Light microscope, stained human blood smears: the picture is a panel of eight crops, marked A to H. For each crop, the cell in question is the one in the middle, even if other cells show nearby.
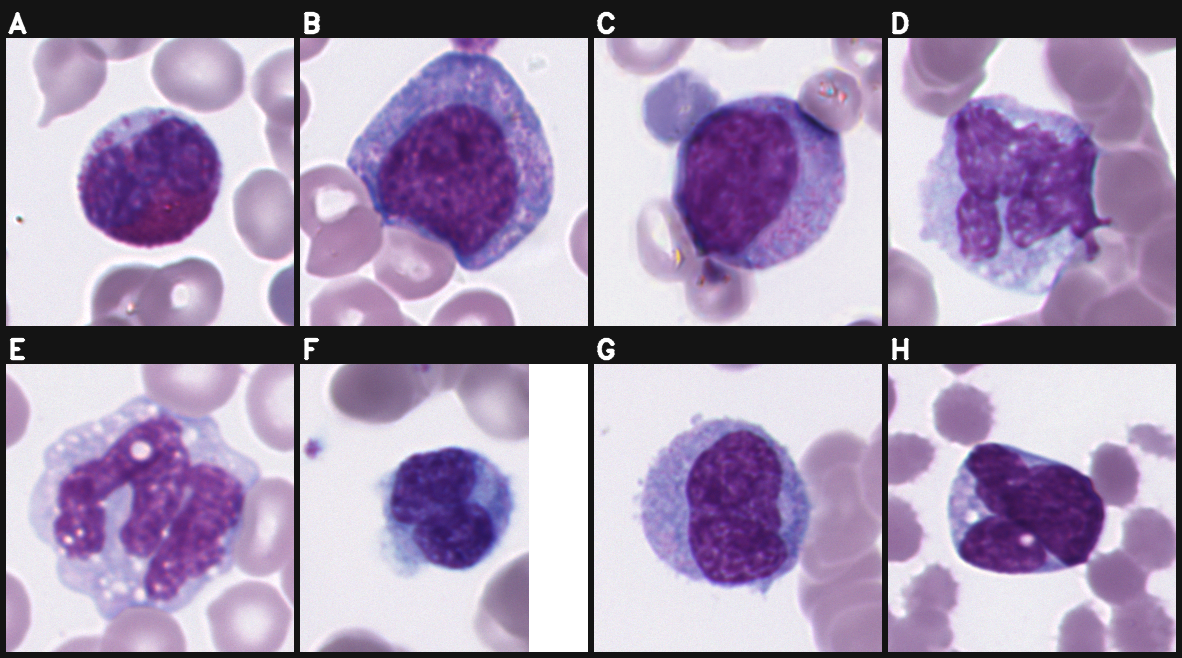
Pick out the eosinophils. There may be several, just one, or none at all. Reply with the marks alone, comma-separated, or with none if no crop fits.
A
